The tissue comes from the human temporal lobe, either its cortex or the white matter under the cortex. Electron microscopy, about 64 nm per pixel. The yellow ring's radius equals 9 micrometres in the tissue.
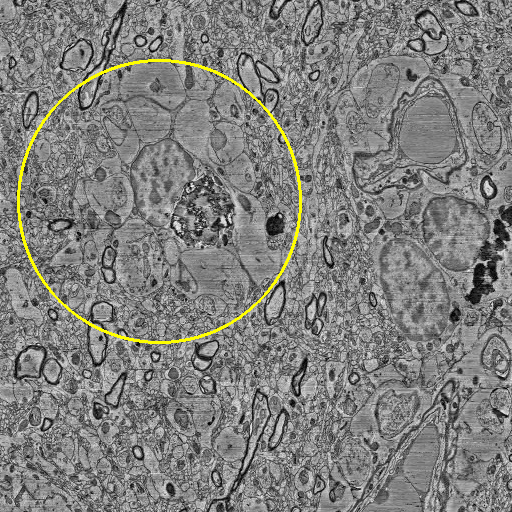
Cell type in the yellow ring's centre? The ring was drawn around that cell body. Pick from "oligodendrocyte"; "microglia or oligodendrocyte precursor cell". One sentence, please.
The ringed cell body is that of a microglial cell or oligodendrocyte precursor cell.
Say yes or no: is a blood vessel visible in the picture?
Yes, there is one.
